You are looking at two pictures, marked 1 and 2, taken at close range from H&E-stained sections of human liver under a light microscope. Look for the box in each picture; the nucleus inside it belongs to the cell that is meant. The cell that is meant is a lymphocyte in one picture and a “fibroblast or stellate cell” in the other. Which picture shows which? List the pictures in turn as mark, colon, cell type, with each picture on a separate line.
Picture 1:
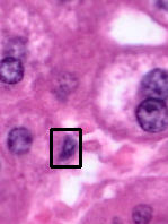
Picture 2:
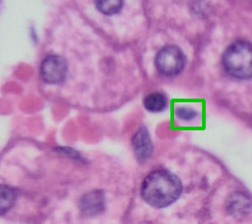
1: fibroblast or stellate cell
2: lymphocyte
